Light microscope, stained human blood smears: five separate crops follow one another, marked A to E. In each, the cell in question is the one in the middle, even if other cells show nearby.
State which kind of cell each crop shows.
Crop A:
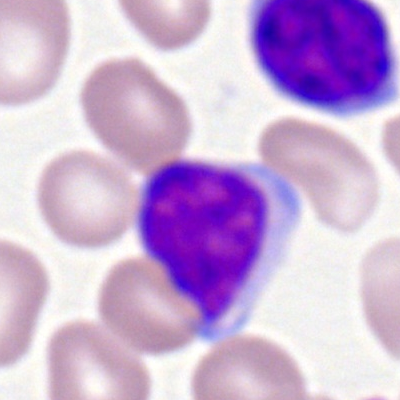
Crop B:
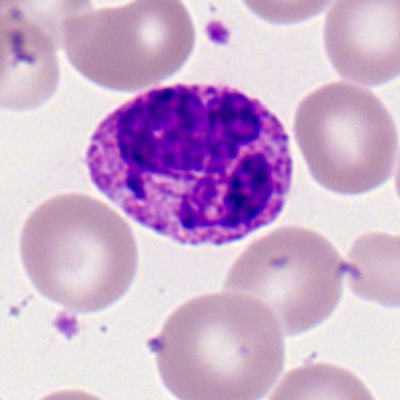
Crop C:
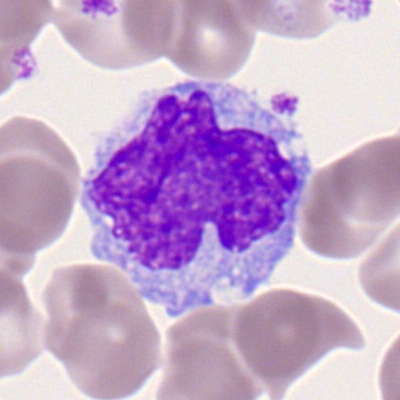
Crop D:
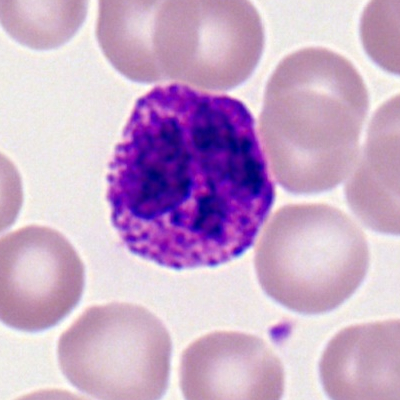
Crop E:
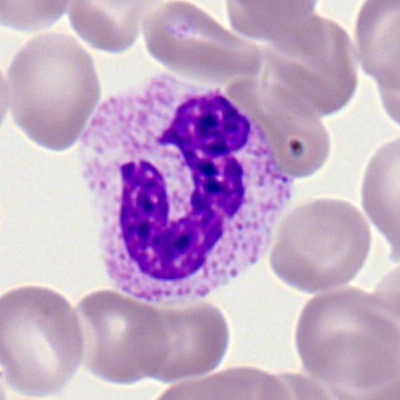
A: lymphocyte
B: basophil
C: monocyte
D: basophil
E: band neutrophil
